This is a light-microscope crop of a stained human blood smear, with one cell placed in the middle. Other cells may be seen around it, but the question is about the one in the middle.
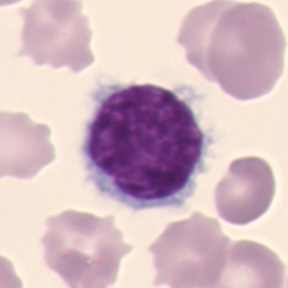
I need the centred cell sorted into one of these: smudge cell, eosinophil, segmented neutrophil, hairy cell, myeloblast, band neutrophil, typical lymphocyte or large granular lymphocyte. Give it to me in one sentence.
Whatever else lies nearby, the middle cell is a hairy cell.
